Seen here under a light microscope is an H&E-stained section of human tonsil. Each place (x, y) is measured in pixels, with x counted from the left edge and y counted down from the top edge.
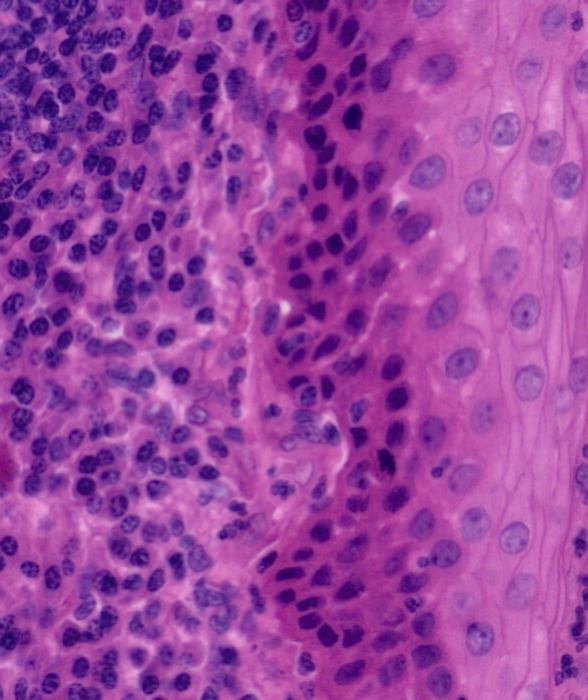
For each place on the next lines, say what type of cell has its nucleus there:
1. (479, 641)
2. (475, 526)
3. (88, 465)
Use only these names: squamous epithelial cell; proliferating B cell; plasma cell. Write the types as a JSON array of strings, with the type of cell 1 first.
["squamous epithelial cell", "squamous epithelial cell", "plasma cell"]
